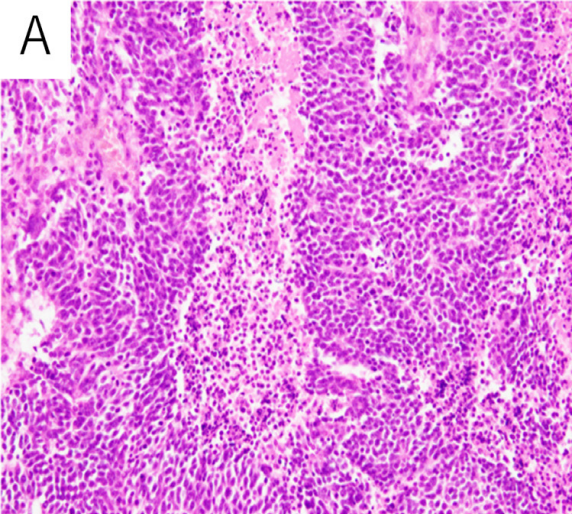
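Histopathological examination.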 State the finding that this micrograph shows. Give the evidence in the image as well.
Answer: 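Dark purple nuclei occupy almost the entire cell. Very little cytoplasm is visible around the nuclei. On this evidence: high nuclear-to-cytoplasmic ratio.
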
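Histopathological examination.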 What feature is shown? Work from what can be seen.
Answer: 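Densely packed tumor cells form broad, continuous solid bands without glands. Little stroma separates the cell masses. On this evidence: sheet-like pattern.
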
